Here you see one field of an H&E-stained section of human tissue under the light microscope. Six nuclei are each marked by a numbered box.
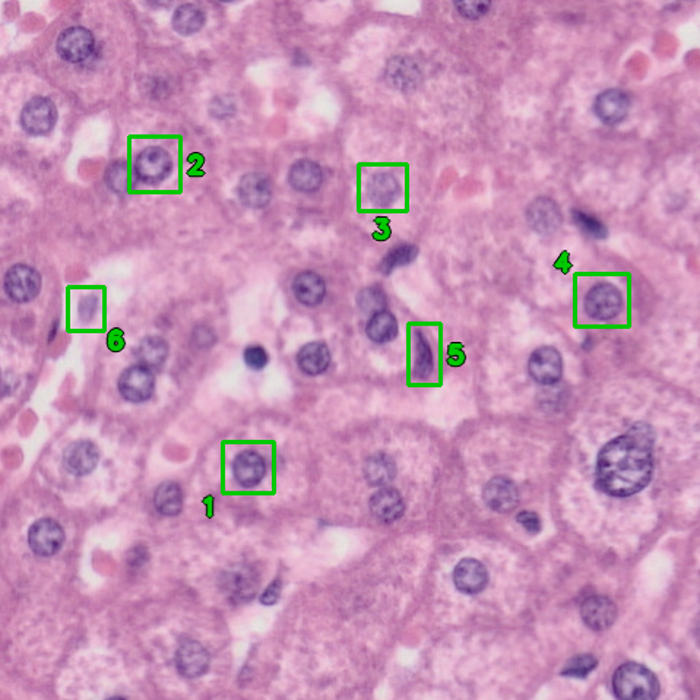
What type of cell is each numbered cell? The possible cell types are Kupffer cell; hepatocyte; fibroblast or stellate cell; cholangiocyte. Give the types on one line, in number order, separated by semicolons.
hepatocyte; hepatocyte; hepatocyte; hepatocyte; fibroblast or stellate cell; Kupffer cell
